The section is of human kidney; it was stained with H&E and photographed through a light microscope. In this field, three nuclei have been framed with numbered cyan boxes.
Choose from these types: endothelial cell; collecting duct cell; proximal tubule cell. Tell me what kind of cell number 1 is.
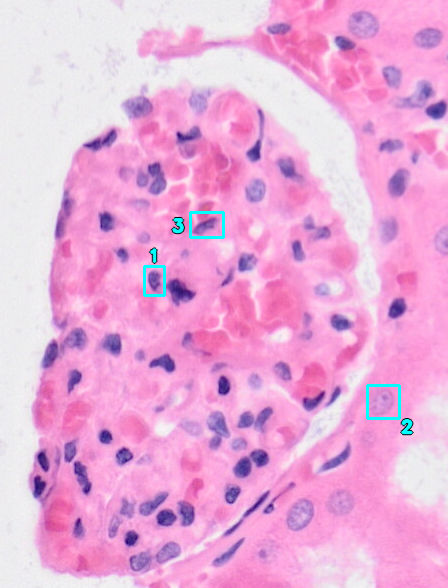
endothelial cell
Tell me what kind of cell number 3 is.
endothelial cell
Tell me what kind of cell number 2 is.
proximal tubule cell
